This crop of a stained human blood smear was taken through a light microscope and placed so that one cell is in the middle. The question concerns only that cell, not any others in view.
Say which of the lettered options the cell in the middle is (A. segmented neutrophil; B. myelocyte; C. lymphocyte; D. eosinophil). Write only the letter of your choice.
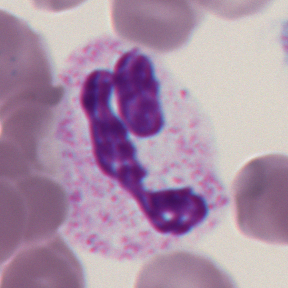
A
